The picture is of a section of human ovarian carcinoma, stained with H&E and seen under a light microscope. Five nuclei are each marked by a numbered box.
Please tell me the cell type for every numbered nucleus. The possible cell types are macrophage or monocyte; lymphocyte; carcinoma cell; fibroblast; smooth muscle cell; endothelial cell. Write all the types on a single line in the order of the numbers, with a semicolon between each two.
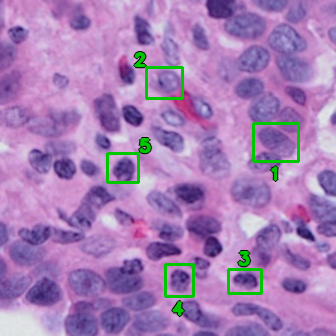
carcinoma cell; endothelial cell; lymphocyte; lymphocyte; lymphocyte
